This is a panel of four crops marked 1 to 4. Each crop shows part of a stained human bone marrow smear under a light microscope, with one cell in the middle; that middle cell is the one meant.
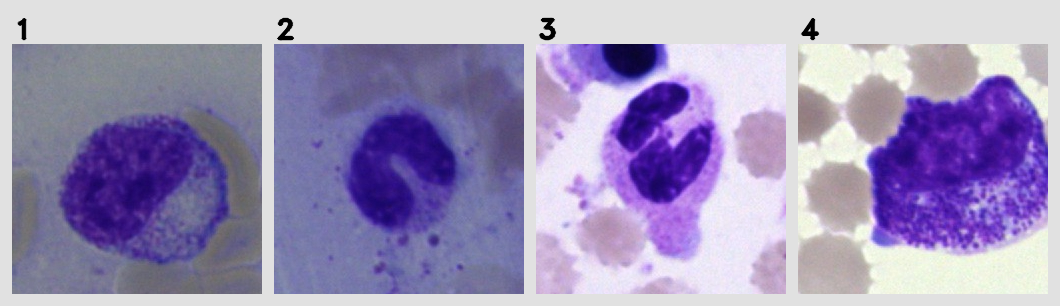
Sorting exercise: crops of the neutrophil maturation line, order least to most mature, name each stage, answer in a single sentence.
The order, going from least to most mature, is crop 4 (a promyelocyte), crop 1 (a metamyelocyte), crop 2 (a band neutrophil) and crop 3 (a segmented neutrophil).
